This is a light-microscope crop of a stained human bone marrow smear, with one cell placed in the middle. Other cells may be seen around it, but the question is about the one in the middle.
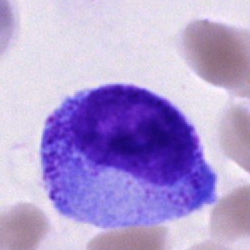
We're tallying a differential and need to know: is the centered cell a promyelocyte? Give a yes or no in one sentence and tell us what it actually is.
Yes, the centered cell in this field is a promyelocyte.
